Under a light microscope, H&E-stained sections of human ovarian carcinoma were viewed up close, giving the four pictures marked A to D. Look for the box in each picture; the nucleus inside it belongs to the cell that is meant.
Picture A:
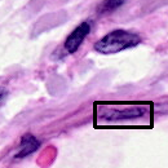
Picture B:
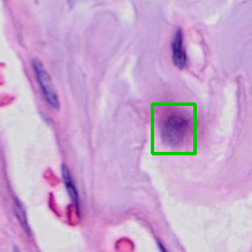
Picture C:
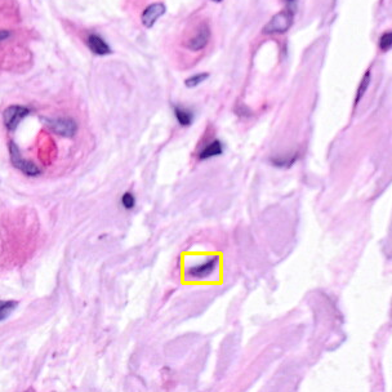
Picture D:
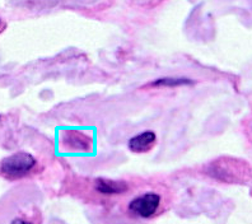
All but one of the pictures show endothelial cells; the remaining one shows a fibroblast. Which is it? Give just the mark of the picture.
D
